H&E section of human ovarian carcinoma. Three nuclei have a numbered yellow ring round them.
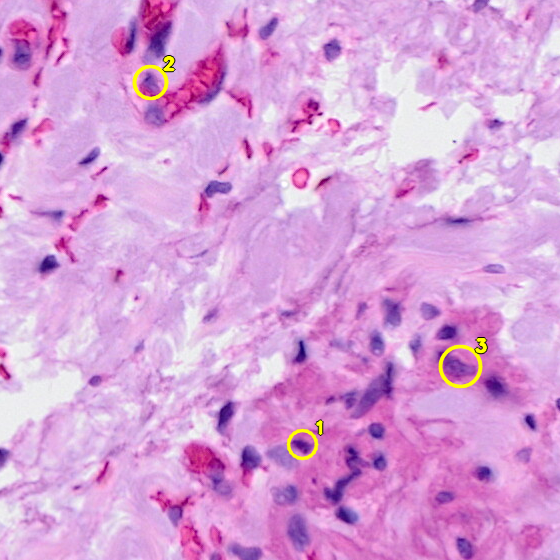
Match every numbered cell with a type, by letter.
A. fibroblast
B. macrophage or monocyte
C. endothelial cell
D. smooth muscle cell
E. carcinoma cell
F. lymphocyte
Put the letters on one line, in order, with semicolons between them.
D; C; D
